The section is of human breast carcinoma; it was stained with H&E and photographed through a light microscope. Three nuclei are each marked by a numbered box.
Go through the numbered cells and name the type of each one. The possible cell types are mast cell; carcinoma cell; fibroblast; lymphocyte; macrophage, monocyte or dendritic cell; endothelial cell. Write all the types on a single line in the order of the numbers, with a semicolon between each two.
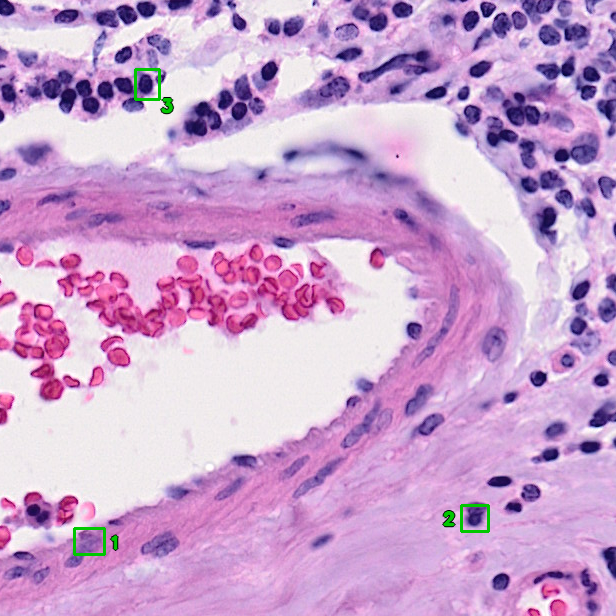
endothelial cell; lymphocyte; lymphocyte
